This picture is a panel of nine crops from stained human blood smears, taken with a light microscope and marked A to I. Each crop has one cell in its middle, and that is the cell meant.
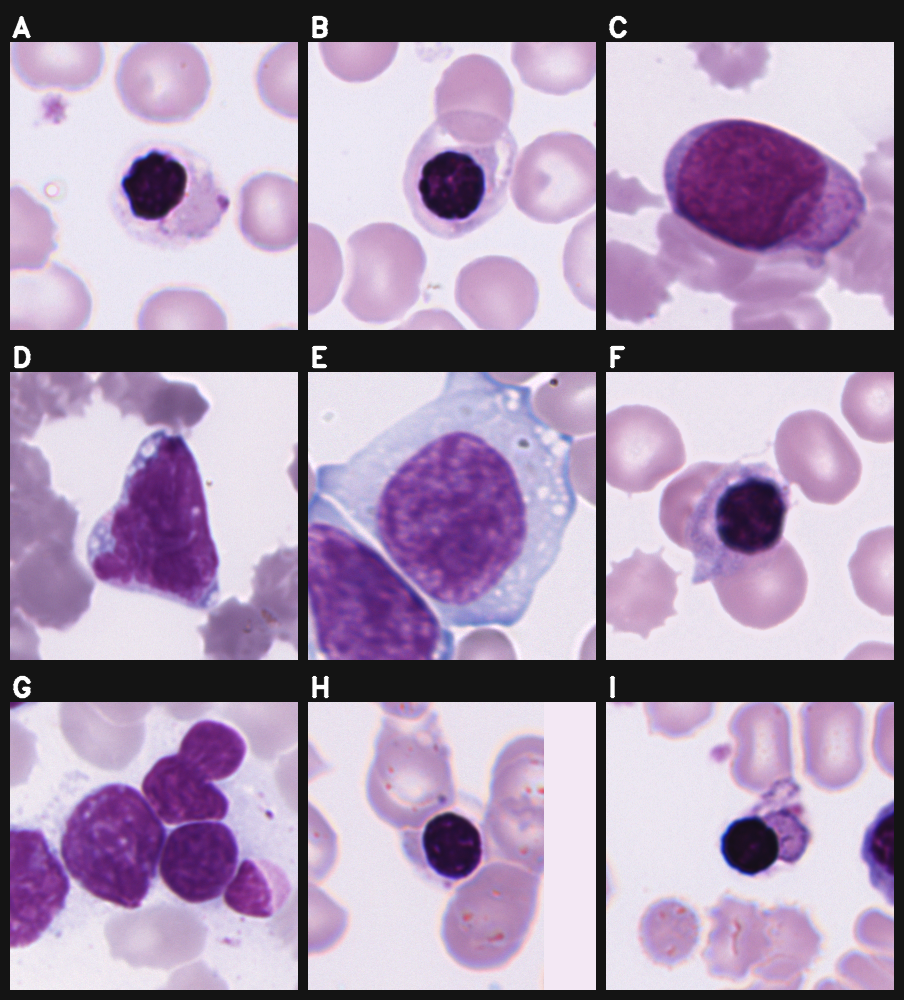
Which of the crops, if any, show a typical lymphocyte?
none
